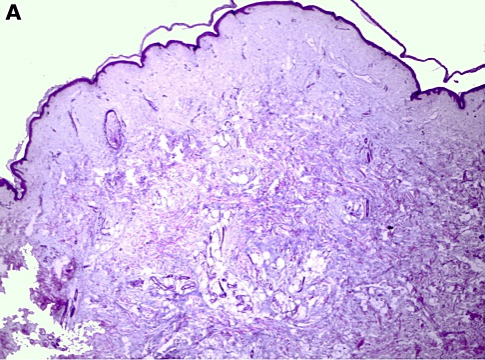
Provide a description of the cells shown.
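Low-power view of skin in which a thin, intact, darkly stained epidermis covers a broad dermal lesion. A hair follicle structure is seen in the upper dermis near the left.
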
